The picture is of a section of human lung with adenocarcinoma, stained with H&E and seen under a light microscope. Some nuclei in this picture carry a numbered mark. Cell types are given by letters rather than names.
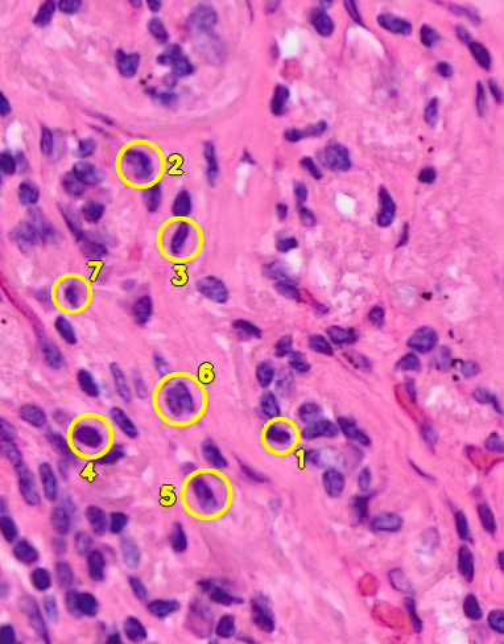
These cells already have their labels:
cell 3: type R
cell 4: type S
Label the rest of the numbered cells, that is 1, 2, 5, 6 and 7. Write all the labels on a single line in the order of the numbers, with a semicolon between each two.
type S; type R; type S; type R; type R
